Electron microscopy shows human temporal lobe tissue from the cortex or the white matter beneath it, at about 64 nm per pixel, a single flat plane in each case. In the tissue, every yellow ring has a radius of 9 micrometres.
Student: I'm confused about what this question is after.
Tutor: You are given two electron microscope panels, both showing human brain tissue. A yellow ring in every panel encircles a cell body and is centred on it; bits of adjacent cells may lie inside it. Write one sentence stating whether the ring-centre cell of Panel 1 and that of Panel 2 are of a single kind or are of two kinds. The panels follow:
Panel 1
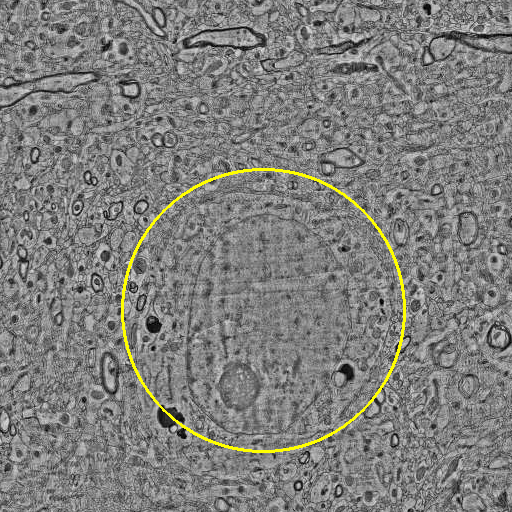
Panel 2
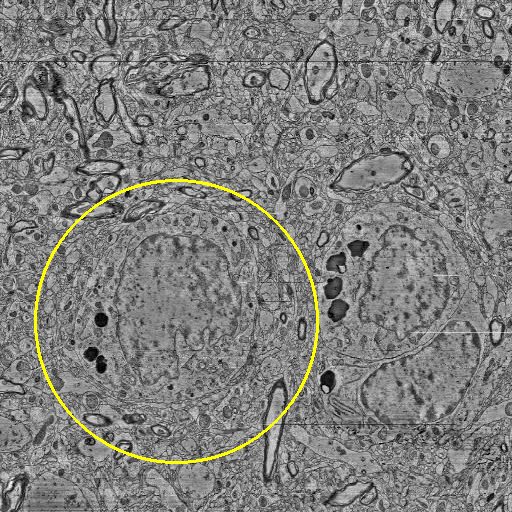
Here, the Panel 1 ring-centre cell and the Panel 2 ring-centre cell are of two kinds.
